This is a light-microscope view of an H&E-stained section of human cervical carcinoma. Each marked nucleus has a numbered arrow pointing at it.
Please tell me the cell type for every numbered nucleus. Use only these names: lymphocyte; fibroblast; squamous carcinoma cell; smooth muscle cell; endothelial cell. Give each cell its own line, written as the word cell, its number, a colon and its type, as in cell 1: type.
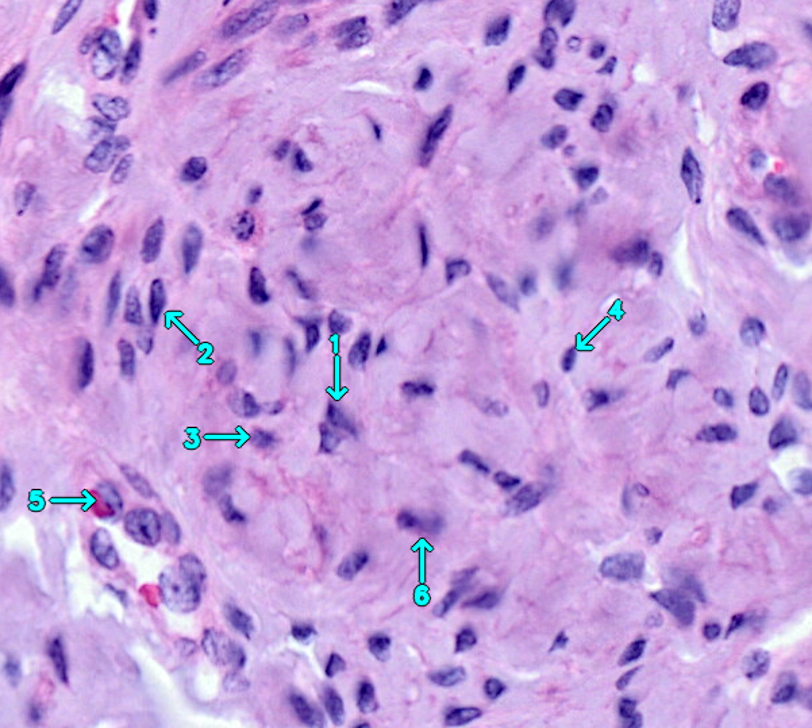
cell 1: fibroblast
cell 2: fibroblast
cell 3: smooth muscle cell
cell 4: fibroblast
cell 5: endothelial cell
cell 6: fibroblast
